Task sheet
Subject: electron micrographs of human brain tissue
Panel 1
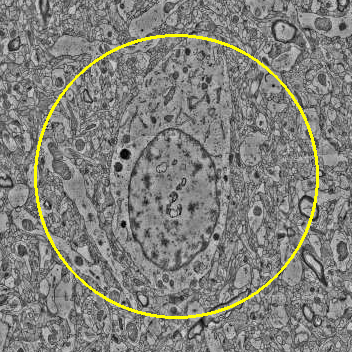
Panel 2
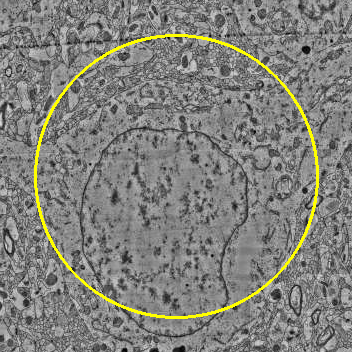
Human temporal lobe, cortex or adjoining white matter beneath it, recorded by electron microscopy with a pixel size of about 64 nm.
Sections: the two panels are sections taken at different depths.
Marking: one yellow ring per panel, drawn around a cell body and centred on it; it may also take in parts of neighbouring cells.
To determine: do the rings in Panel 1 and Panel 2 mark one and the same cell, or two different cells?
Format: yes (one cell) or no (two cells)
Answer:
no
